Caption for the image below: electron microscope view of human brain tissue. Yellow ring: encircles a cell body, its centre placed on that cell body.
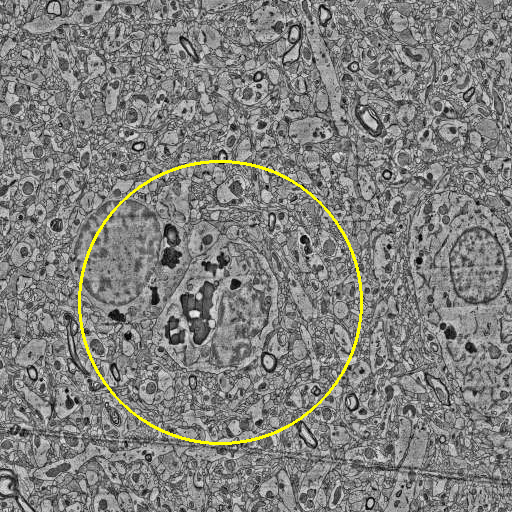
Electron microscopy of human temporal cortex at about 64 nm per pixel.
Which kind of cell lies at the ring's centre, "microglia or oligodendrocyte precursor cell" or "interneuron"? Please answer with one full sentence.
The picture shows an interneuron at the centre of the yellow ring.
